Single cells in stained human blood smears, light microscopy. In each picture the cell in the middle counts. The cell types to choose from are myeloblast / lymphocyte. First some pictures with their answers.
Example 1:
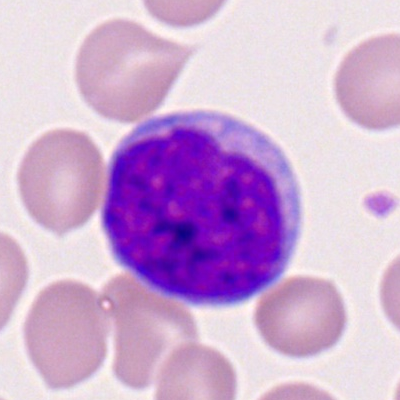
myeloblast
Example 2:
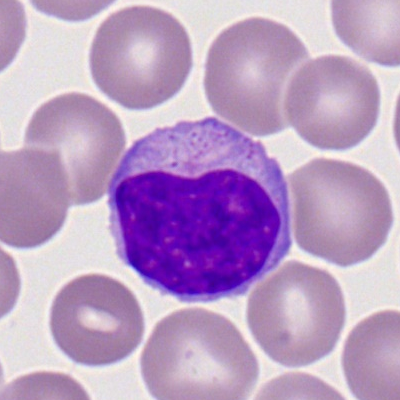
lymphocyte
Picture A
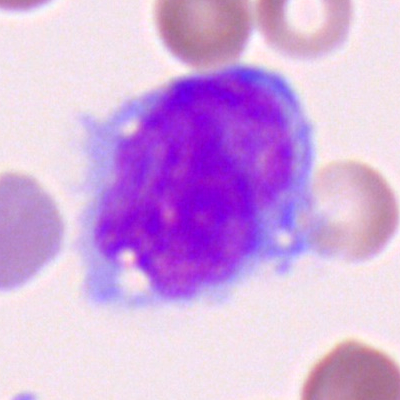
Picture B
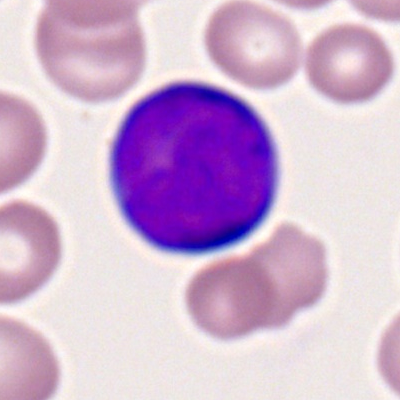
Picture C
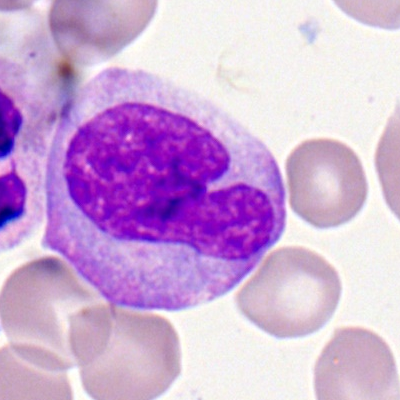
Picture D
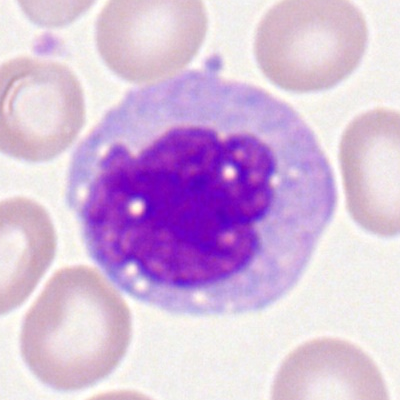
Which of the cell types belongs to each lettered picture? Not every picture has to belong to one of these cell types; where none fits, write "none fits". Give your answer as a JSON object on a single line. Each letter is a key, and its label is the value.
{"A": "none fits", "B": "myeloblast", "C": "none fits", "D": "none fits"}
